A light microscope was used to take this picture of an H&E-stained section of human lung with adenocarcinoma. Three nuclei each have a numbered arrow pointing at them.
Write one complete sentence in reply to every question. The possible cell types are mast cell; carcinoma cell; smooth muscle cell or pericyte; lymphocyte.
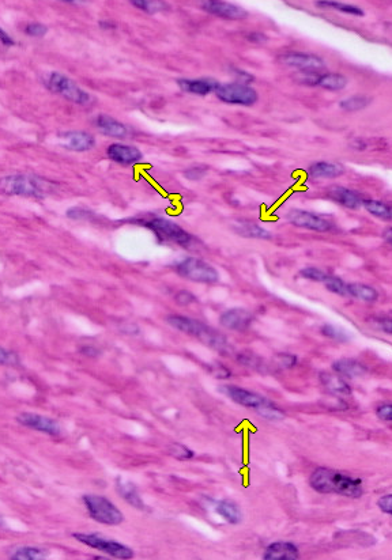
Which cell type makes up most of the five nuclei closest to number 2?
Around number 2, most of the five nearest nuclei are those of smooth muscle cells or pericytes.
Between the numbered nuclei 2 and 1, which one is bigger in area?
Of the two, number 1 is bigger and takes up about 2 times the area of number 2.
